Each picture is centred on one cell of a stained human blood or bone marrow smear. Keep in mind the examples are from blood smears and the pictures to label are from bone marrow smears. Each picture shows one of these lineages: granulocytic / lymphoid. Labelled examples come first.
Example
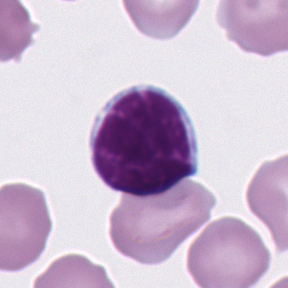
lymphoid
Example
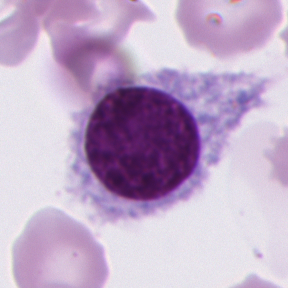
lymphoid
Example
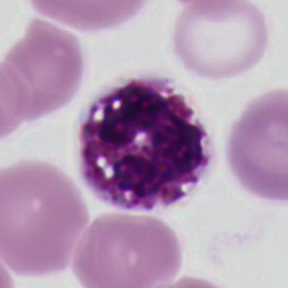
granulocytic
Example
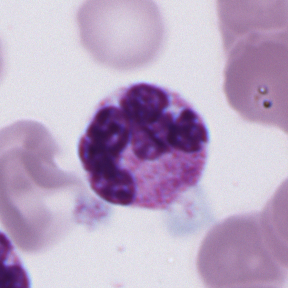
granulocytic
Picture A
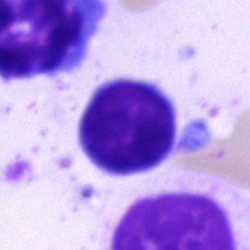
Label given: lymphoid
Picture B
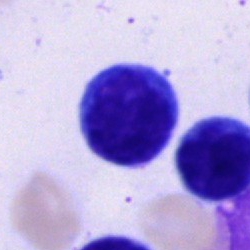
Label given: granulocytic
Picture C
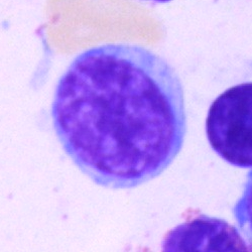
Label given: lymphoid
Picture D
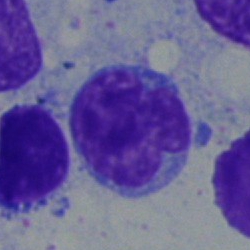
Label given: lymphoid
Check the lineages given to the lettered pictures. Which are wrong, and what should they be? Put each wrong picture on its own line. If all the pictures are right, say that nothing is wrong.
B: not granulocytic but lymphoid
